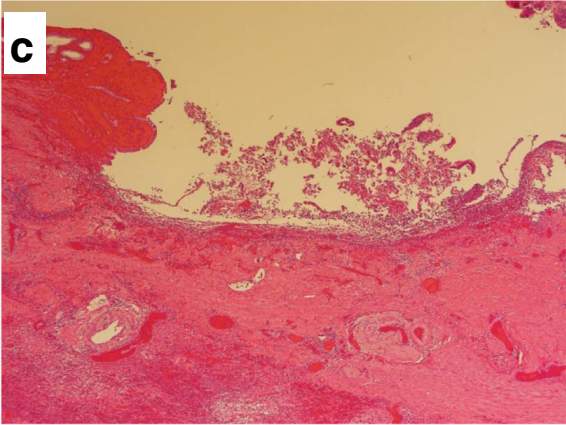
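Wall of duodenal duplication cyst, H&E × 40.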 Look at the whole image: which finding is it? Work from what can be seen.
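The mucosal lining is missing over a broad stretch of the surface. Loose pink debris lies in the defect above the exposed wall. Intact mucosa remains only at the edges of the panel. The answer: Chronic ulcers and erosions.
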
